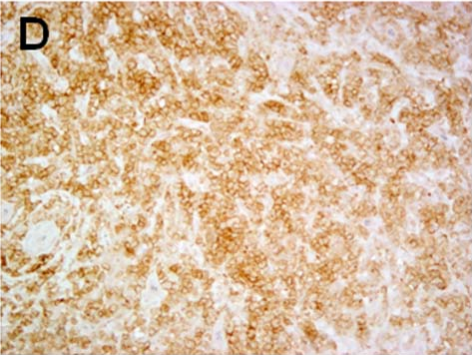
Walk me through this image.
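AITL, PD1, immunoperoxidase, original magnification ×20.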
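Lymphoid infiltrate in which numerous neoplastic cells are marked by brown stain. The brown colour lies at the rims of the cells, outlining them. Stained cells form dense sheets that cover most of the field. Few unstained cells and thin strands lie between them.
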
